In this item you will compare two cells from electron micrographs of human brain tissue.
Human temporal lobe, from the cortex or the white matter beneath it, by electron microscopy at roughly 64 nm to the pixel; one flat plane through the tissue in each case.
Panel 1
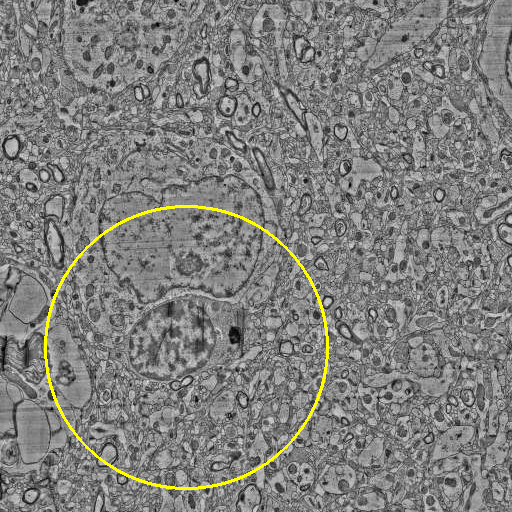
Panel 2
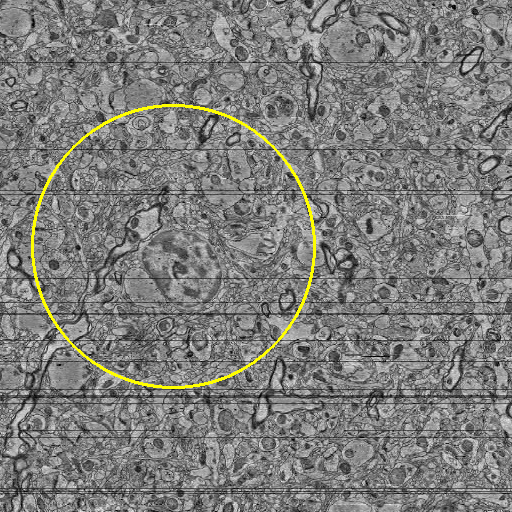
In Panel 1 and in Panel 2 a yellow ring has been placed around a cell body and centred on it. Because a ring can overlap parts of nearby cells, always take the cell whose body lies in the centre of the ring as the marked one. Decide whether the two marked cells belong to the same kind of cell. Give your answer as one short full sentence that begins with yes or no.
Yes, the two marked cells belong to the same kind of cell.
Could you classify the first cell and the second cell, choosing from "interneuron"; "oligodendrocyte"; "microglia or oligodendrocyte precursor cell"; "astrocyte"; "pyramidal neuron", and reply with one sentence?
In the first picture and in the second, the ring is centred on an oligodendrocyte.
